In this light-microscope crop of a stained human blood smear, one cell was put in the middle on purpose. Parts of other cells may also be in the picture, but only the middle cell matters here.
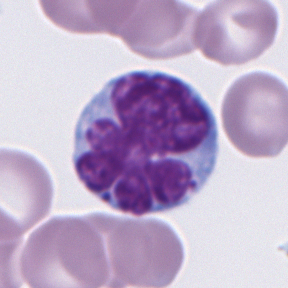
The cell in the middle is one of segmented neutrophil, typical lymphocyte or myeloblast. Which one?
myeloblast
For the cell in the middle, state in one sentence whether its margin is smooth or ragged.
You can see a smooth boundary, with no projections sticking out.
